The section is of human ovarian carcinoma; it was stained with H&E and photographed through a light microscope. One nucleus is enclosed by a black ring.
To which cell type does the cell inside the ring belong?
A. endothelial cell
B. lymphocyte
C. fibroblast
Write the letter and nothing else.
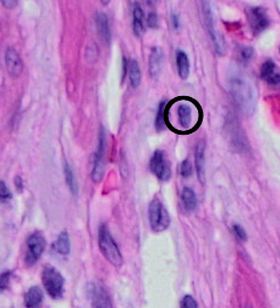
B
